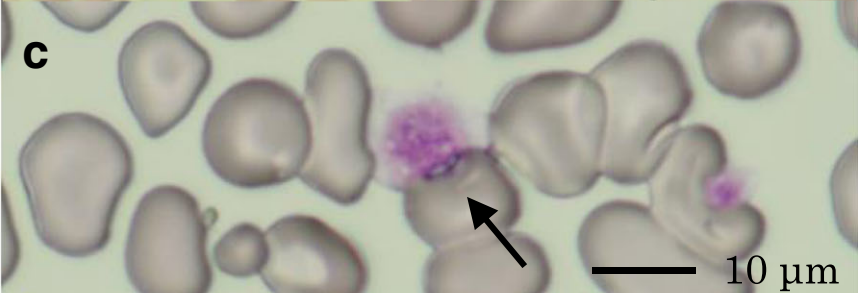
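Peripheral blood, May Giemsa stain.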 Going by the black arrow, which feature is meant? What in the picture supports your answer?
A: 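A purple granular body without a nucleus lies among red cells. It is nearly as large as a red cell. A smaller purple granular body lies to the right.
Hence: large platelets.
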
